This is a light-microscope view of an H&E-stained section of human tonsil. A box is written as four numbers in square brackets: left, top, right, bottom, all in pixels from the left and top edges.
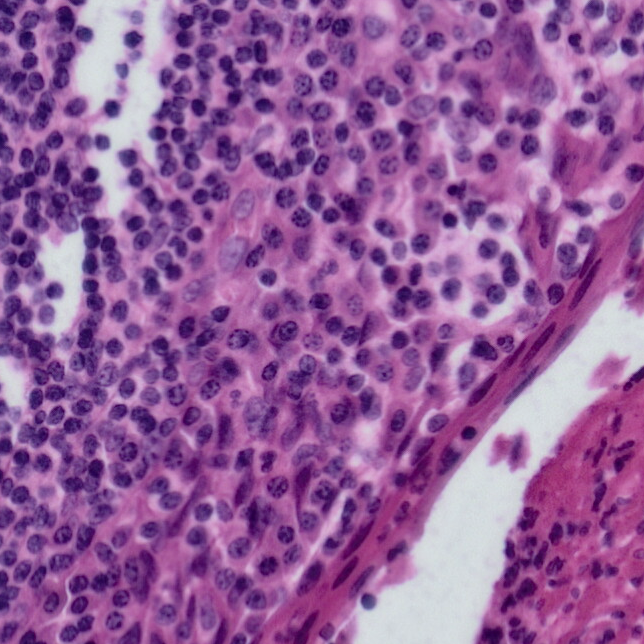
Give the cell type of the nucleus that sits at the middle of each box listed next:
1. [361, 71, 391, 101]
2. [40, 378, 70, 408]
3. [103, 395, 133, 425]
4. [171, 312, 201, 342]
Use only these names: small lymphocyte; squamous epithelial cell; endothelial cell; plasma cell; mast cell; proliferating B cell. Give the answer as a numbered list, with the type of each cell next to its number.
1. plasma cell
2. small lymphocyte
3. small lymphocyte
4. plasma cell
